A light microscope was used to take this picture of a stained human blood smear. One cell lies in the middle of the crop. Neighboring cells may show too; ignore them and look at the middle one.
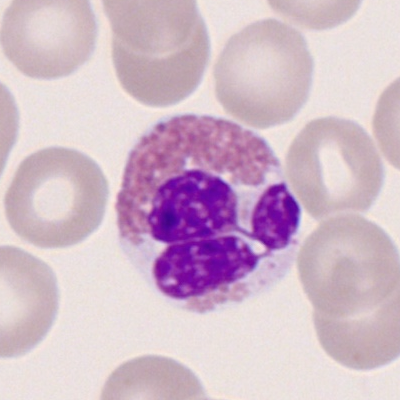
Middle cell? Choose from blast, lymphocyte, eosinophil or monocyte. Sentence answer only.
This crop's central cell is an eosinophil.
